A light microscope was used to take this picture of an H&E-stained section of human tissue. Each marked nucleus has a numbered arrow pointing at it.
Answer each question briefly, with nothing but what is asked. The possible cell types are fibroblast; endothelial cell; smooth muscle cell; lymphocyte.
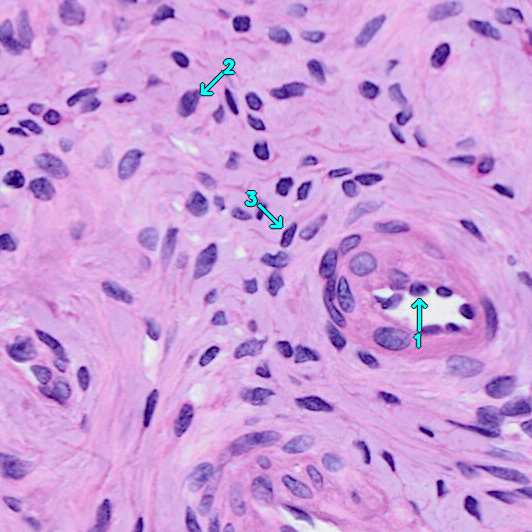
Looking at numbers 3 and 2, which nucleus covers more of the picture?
2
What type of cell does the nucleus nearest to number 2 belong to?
fibroblast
